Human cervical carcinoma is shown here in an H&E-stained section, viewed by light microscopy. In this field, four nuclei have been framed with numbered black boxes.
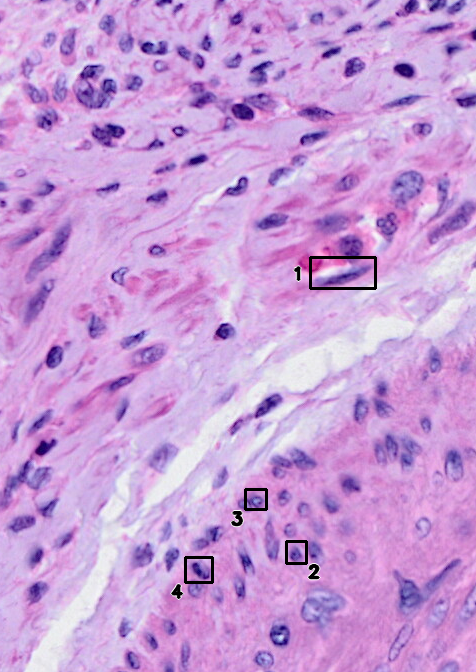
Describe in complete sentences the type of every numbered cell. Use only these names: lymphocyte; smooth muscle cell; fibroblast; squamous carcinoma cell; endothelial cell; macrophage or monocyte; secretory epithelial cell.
Cell 1 is an endothelial cell. Cells 2, 3 and 4 are smooth muscle cells.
